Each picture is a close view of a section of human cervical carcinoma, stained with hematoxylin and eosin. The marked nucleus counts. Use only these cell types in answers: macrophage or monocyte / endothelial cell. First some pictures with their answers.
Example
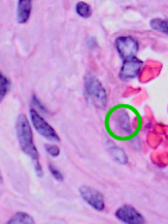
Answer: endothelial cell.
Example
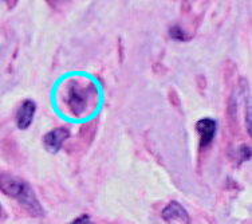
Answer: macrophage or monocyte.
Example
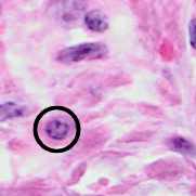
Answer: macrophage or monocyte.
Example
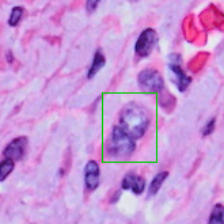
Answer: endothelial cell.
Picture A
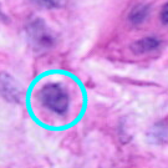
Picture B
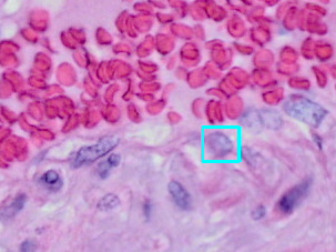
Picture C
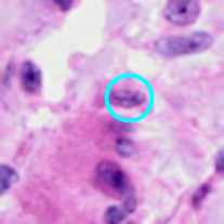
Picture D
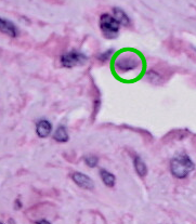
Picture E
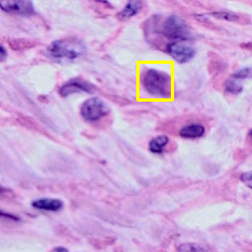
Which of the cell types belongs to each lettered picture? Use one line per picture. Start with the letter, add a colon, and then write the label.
A: macrophage or monocyte.
B: endothelial cell.
C: macrophage or monocyte.
D: endothelial cell.
E: macrophage or monocyte.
